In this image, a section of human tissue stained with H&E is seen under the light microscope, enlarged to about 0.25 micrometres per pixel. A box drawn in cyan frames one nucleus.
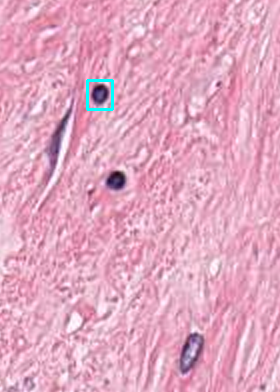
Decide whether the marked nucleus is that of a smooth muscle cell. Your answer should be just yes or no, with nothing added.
no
